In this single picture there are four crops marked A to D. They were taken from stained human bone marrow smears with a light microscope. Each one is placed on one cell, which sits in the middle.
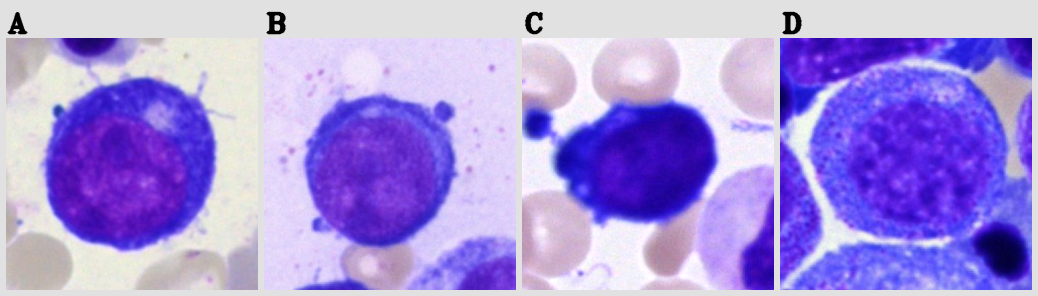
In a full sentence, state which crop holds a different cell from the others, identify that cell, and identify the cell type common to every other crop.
Crop D presents a promyelocyte, while proerythroblasts are presented by all other crops.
